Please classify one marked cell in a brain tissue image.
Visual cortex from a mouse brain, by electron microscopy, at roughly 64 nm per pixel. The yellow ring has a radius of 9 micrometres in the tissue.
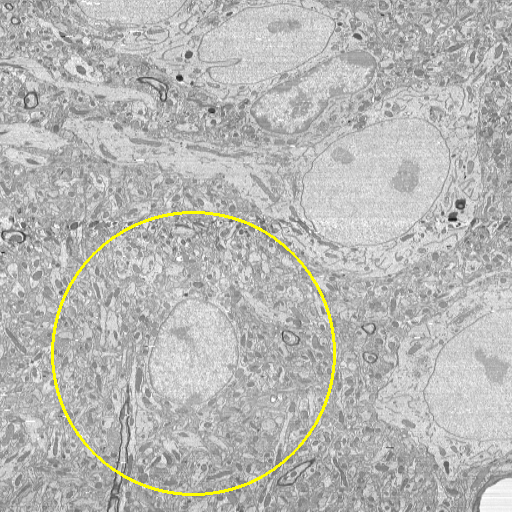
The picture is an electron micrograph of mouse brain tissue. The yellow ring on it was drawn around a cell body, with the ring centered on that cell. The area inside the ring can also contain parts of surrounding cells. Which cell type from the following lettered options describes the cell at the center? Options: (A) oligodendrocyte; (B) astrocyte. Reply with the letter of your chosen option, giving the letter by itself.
B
